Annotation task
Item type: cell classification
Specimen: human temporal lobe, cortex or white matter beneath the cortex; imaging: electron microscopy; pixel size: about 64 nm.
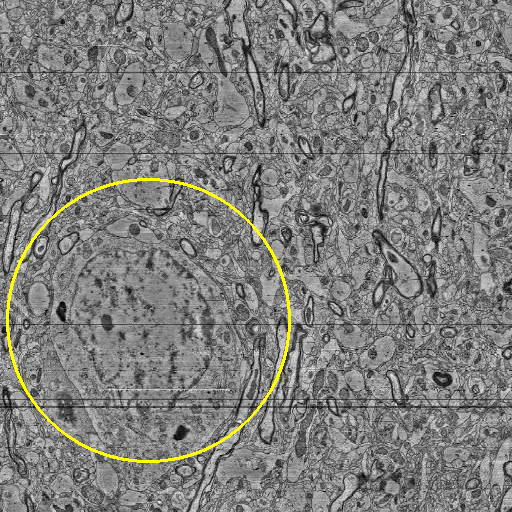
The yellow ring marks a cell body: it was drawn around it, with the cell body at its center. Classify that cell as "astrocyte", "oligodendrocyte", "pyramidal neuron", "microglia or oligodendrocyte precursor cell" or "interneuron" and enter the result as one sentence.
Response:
The ring's center falls on an interneuron.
